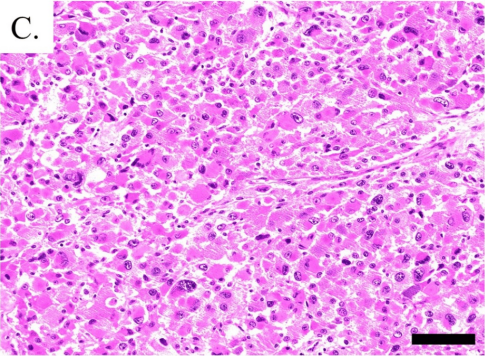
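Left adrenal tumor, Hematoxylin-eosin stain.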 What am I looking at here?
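The cells form sheets with little intervening stroma. They are polygonal to irregular, with abundant pink, finely granular cytoplasm and ill-defined borders. Nuclei are round to oval with vesicular chromatin, and many carry a prominent nucleolus. The nuclei vary strikingly in size and shape, and scattered cells are enlarged with large, dark nuclei, showing marked polymorphism. No nested arrangement or gland formation is evident.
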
